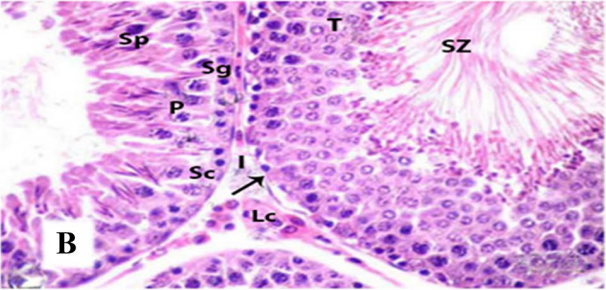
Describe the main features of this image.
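This is normal testis, showing seminiferous tubules with their layered germ epithelium and the interstitial tissue between them. Small dark spermatogonia sit along the thin basement membrane at the edge of each tubule, with larger round primary spermatocytes with coarse chromatin above them and elongated spermatids toward the lumen. Bundles of pink sperm tails stream into the lumen at upper right, and the triangular space between tubules holds interstitial cells with pink cytoplasm.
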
